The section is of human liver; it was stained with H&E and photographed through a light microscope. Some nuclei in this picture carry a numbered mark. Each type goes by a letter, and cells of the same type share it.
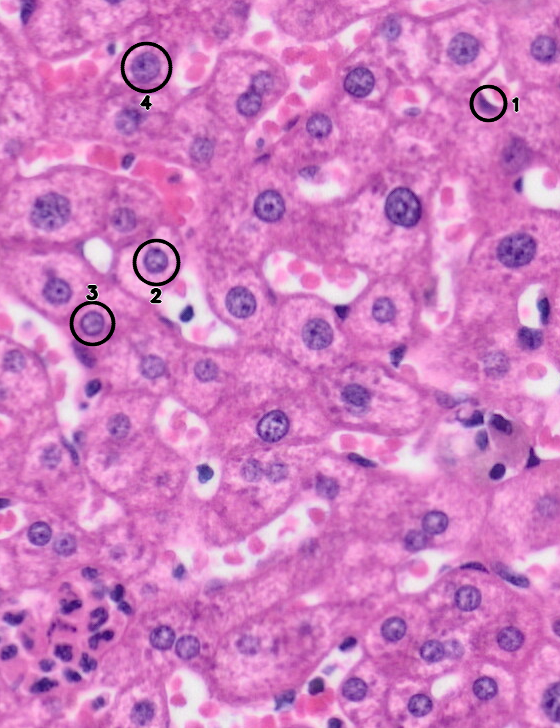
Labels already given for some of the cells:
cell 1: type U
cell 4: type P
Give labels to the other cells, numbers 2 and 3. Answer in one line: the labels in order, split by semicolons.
type P; type P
